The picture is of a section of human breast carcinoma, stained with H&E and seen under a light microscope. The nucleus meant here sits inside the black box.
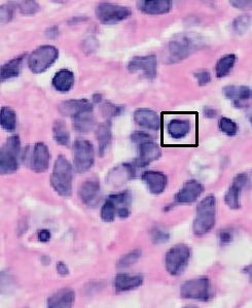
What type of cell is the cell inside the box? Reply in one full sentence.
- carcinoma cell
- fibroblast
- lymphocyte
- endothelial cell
The category to which the cell inside the box belongs is that of a lymphocyte.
